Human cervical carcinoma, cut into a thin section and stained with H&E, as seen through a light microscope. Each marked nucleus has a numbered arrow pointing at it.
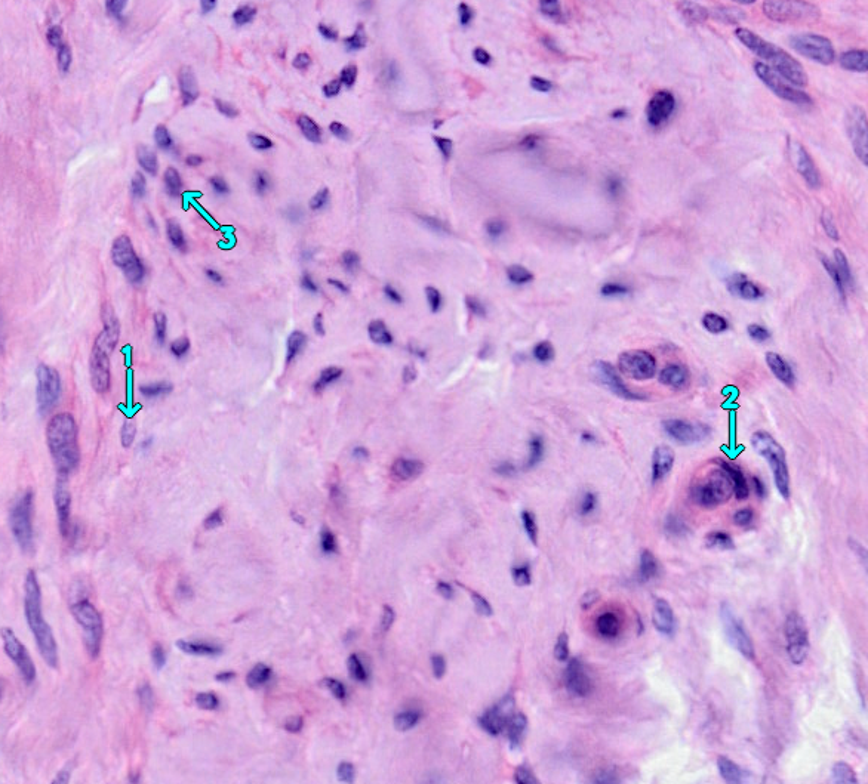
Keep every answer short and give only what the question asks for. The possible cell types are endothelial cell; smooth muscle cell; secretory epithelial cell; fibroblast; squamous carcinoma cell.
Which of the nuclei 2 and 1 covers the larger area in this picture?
2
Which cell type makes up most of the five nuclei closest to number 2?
endothelial cell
